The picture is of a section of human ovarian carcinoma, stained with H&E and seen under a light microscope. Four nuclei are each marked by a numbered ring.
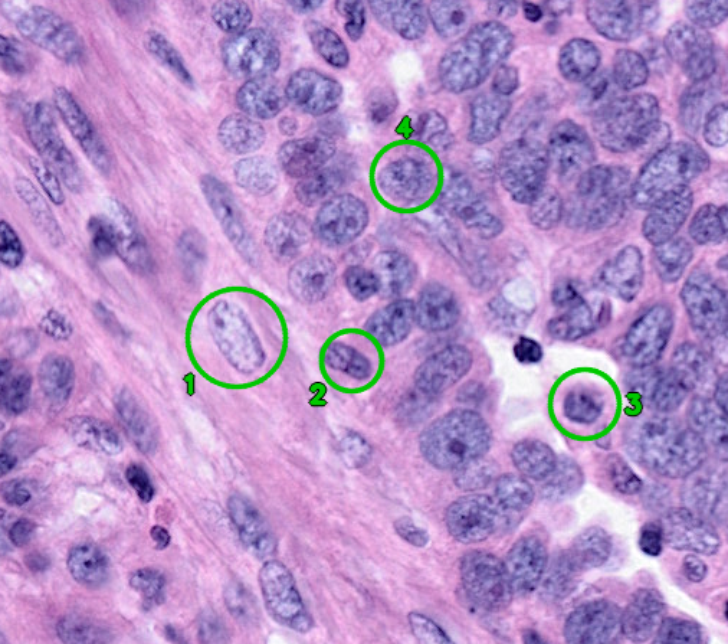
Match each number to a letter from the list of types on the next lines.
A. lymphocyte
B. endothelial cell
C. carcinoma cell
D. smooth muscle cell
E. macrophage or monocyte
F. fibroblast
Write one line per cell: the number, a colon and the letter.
1: F
2: E
3: E
4: C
